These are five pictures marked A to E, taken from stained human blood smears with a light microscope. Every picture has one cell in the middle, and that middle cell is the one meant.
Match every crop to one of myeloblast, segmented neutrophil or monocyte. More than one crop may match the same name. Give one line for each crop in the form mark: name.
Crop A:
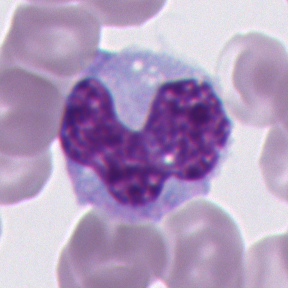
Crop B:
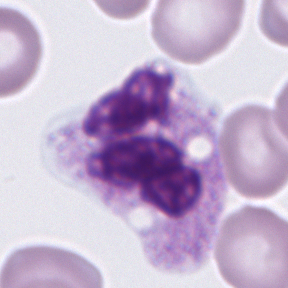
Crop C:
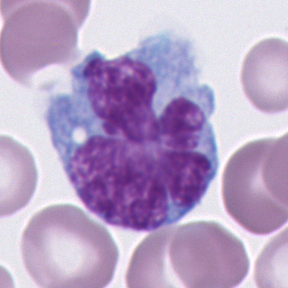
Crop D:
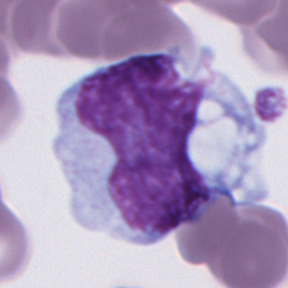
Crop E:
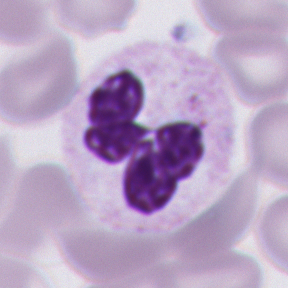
A: monocyte
B: segmented neutrophil
C: myeloblast
D: monocyte
E: segmented neutrophil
